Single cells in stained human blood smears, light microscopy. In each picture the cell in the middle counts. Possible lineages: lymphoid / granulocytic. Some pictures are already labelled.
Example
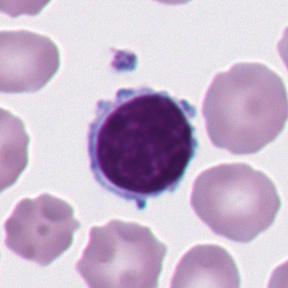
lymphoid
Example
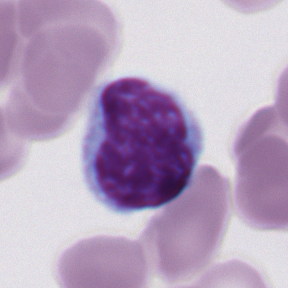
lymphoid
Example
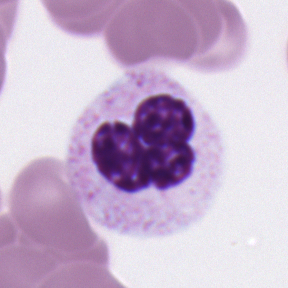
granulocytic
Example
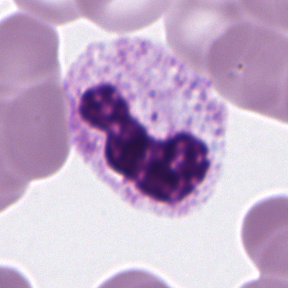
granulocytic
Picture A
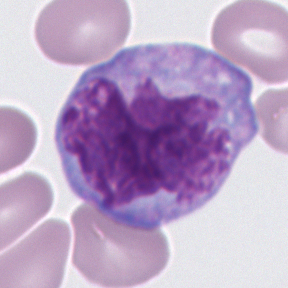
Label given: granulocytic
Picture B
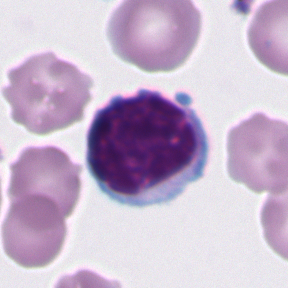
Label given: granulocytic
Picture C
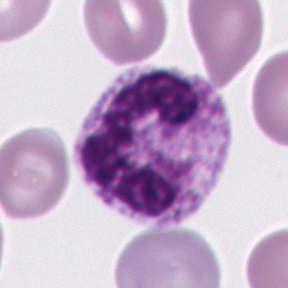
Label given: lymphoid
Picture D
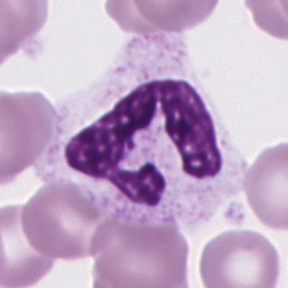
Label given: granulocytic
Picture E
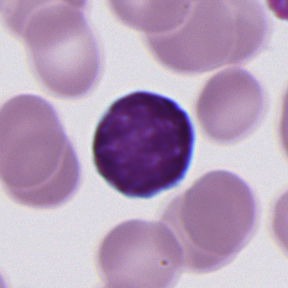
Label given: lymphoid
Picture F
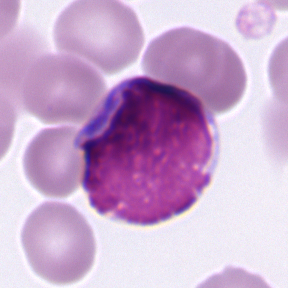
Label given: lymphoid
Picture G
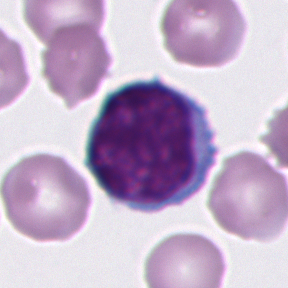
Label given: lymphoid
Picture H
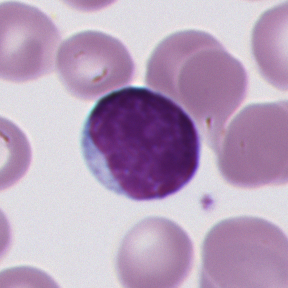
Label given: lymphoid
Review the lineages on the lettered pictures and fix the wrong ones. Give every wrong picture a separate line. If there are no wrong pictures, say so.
B: lymphoid, not granulocytic
C: granulocytic, not lymphoid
